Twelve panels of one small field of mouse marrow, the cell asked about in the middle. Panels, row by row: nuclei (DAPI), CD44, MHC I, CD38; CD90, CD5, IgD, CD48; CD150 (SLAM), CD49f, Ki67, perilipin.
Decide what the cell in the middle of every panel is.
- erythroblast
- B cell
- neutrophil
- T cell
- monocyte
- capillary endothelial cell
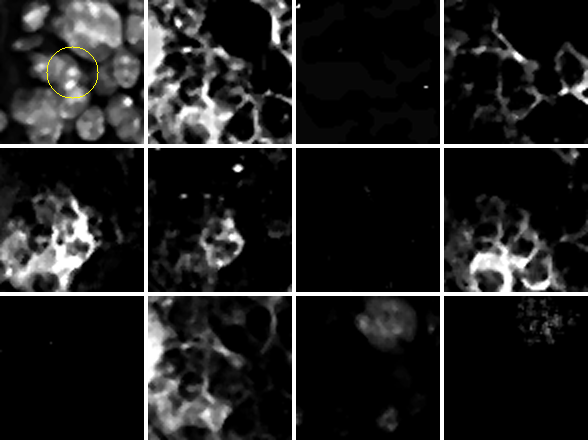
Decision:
capillary endothelial cell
